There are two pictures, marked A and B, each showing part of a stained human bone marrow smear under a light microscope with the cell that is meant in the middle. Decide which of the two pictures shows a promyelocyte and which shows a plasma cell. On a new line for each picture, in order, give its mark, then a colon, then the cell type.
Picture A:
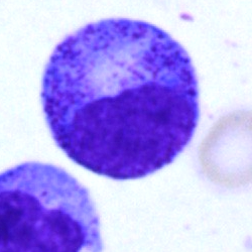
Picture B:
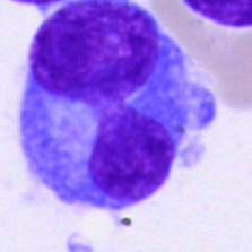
A: promyelocyte
B: plasma cell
